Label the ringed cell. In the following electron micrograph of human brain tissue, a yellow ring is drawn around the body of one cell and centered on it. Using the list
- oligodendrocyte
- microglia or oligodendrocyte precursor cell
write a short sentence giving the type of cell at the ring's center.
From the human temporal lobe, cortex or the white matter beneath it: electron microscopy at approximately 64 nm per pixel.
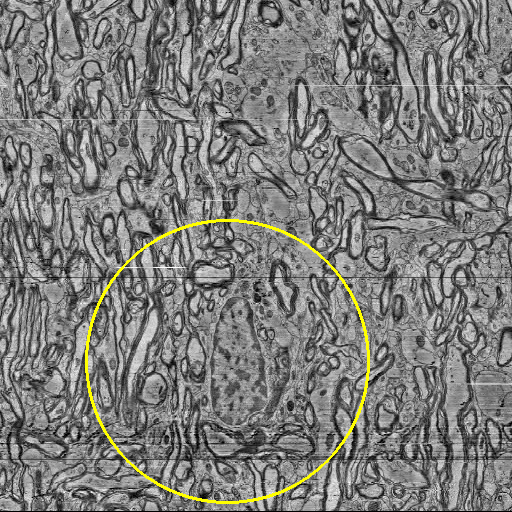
The cell body at the ring's center is that of a microglial cell or oligodendrocyte precursor cell.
